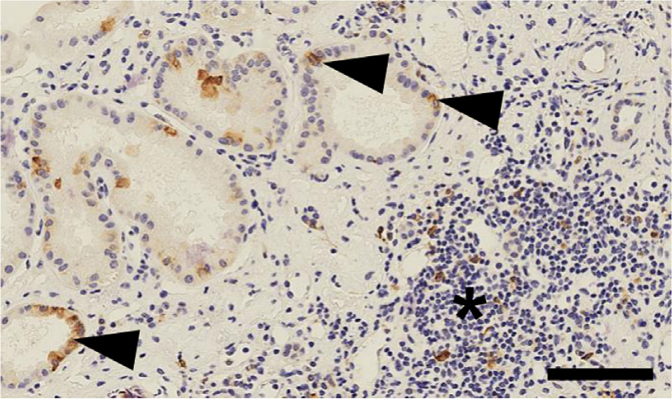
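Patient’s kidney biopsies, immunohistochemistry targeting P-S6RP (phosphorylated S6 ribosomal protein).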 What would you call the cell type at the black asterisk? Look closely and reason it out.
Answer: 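The asterisk sits in a dense sheet of small round, dark blue nuclei with scant cytoplasm. This dense cellular area lies in the interstitium between tubules.
Lymphocytes.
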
